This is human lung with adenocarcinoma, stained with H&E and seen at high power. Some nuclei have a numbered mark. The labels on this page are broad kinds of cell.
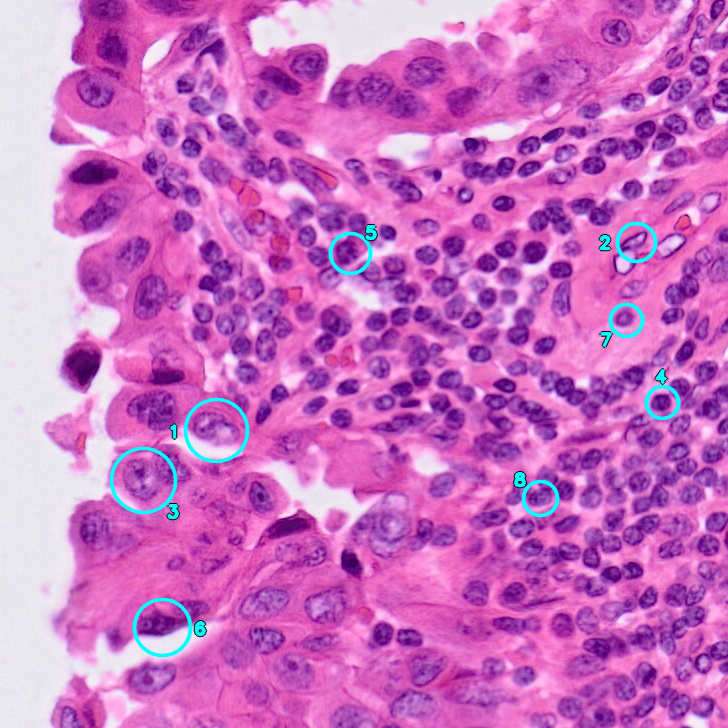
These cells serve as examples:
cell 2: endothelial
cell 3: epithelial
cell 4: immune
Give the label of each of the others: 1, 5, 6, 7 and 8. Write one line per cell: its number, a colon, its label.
1: epithelial
5: immune
6: epithelial
7: immune
8: immune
